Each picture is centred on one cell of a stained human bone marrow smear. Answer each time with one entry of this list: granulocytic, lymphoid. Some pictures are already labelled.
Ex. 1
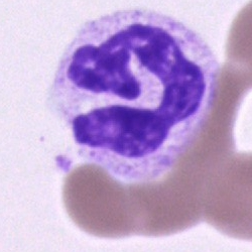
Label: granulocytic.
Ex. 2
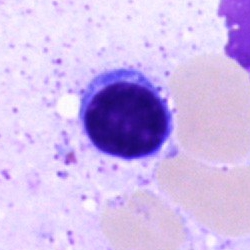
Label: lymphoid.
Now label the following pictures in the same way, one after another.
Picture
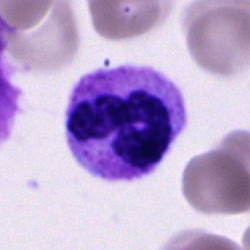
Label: granulocytic.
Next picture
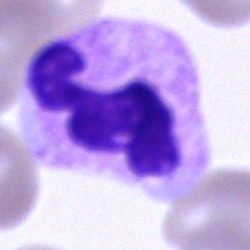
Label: granulocytic.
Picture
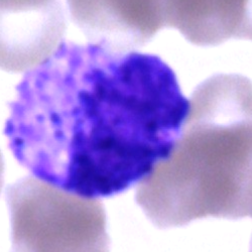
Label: granulocytic.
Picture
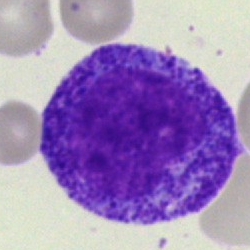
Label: granulocytic.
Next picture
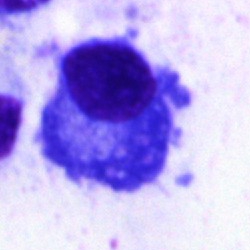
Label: lymphoid.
